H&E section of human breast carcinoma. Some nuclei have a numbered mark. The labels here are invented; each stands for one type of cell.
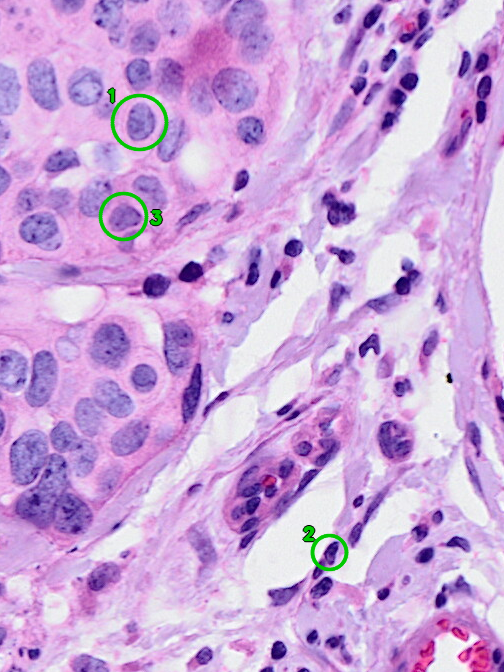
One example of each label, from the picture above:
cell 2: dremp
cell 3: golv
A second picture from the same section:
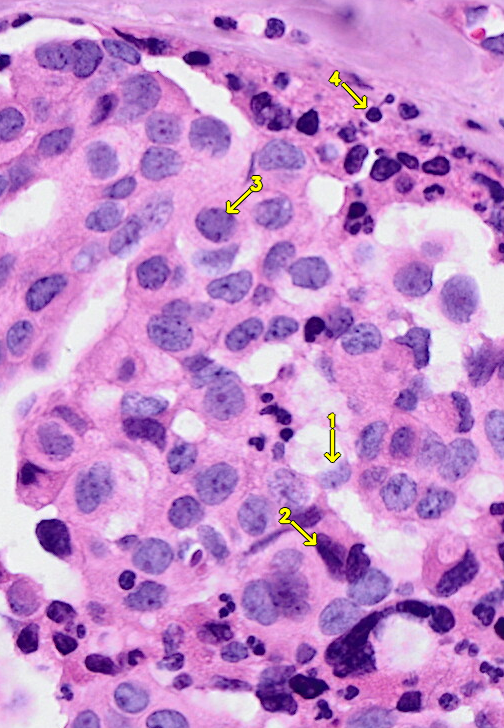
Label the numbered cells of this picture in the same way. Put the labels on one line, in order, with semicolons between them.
golv; golv; golv; dremp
